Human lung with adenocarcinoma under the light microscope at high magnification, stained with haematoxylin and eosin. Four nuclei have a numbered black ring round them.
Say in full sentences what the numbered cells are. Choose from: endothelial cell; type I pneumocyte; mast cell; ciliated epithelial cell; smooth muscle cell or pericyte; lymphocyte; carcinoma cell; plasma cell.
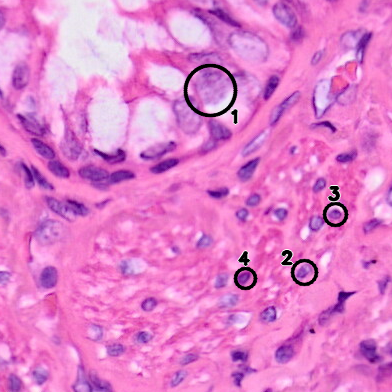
Cell 1 is a ciliated epithelial cell. Cells 2, 3 and 4 are smooth muscle cells or pericytes.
